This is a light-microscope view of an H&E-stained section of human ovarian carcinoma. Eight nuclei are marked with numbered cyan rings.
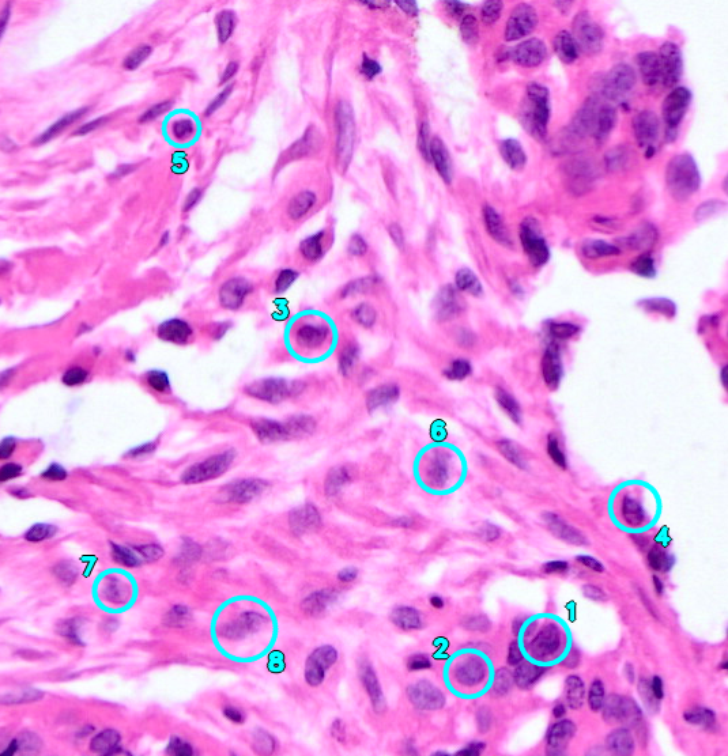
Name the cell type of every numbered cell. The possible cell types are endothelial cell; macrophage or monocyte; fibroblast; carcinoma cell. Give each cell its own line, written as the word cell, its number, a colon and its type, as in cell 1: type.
cell 1: carcinoma cell
cell 2: carcinoma cell
cell 3: fibroblast
cell 4: carcinoma cell
cell 5: fibroblast
cell 6: fibroblast
cell 7: fibroblast
cell 8: fibroblast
